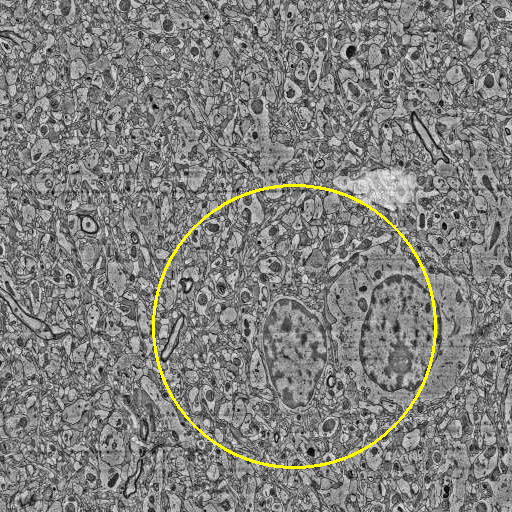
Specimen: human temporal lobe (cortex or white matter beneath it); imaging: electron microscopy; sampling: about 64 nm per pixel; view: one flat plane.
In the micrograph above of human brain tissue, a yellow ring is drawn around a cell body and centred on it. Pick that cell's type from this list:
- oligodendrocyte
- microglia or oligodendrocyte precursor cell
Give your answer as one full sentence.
Going by the list, a microglial cell or oligodendrocyte precursor cell is the cell on which the yellow ring is centred.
